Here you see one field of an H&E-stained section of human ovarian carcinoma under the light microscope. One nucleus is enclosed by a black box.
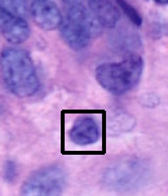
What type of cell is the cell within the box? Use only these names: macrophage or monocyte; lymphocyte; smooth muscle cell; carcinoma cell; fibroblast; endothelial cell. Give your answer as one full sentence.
Among the cells in this section, the cell within the box is a lymphocyte.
